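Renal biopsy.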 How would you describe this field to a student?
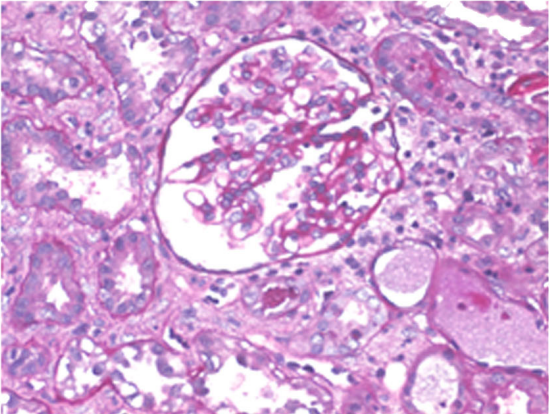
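This is kidney cortex with a glomerulus in the upper centre surrounded by tubules, basement membranes staining magenta. The glomerular tuft is lobulated with pink matrix between capillary loops and lies in a wide clear space inside the capsule. The tubular epithelial cells around it have pale, vacuolated cytoplasm and irregular linings, and some lumina contain pink homogeneous or granular material, with nucleated cells scattered in the interstitium between tubules.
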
